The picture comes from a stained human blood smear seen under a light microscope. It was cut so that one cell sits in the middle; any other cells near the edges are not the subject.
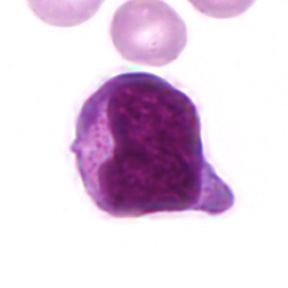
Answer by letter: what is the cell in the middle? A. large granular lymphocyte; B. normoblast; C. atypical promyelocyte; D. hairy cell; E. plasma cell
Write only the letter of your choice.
C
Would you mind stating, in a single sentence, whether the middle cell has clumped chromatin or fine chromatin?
In this cell the chromatin is fine rather than coarsely clumped.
